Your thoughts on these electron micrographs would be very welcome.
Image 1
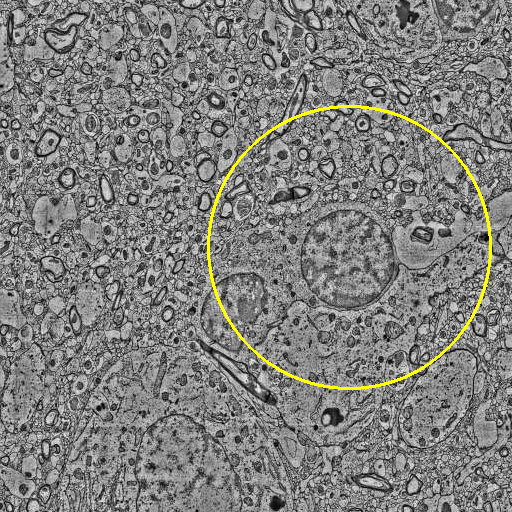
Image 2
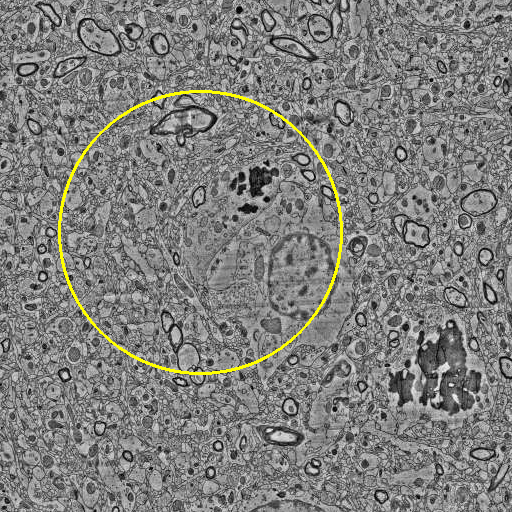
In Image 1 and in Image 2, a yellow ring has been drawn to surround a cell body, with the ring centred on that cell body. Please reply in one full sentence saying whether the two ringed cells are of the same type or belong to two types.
The ringed cells in Image 1 and Image 2 are of the same type.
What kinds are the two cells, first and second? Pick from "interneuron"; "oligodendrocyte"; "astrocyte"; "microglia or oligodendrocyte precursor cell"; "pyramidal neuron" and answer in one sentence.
Each of the two cells is an oligodendrocyte.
